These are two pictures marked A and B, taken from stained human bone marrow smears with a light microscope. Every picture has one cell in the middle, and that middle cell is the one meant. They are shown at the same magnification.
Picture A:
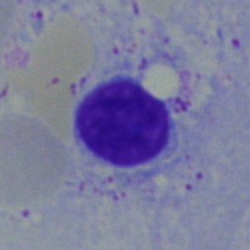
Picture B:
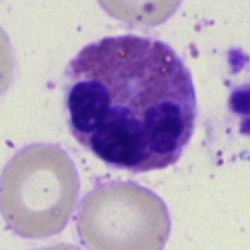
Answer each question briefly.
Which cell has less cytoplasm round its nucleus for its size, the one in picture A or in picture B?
A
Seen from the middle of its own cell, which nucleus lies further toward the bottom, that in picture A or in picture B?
B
